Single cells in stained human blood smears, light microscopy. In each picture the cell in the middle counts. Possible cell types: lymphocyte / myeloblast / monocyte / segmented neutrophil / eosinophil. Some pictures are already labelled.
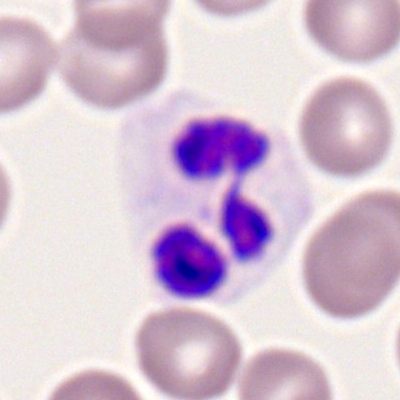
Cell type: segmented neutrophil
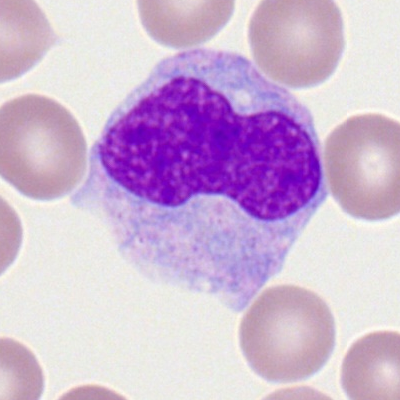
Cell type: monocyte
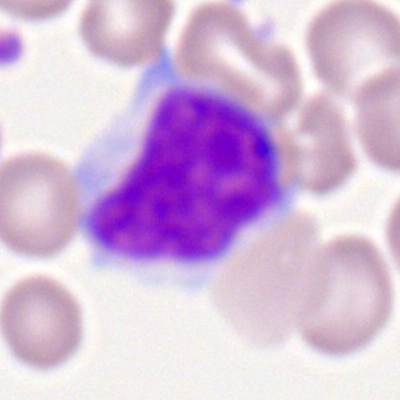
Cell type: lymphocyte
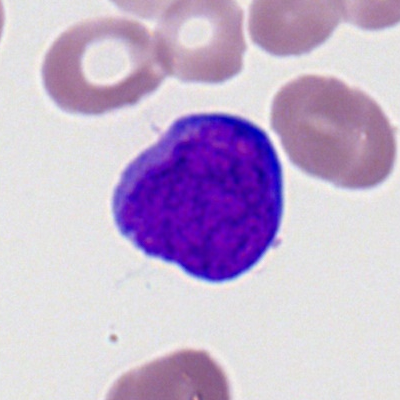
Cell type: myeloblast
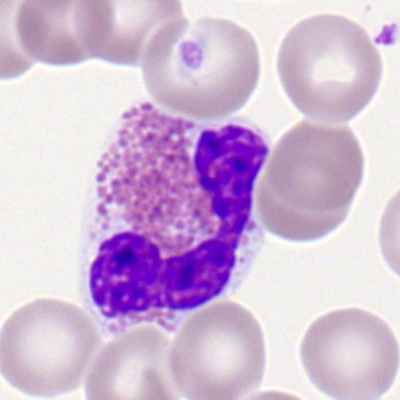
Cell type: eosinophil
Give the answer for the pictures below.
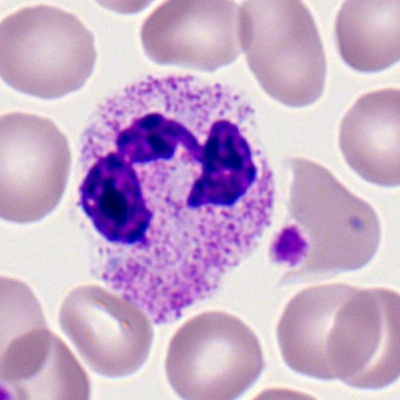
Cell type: segmented neutrophil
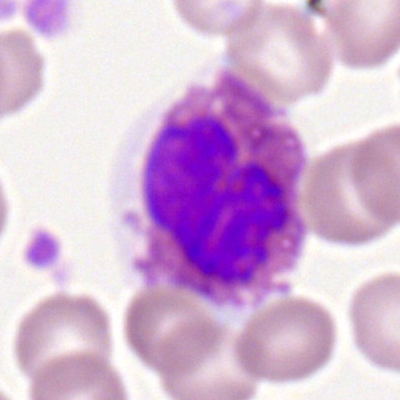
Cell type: eosinophil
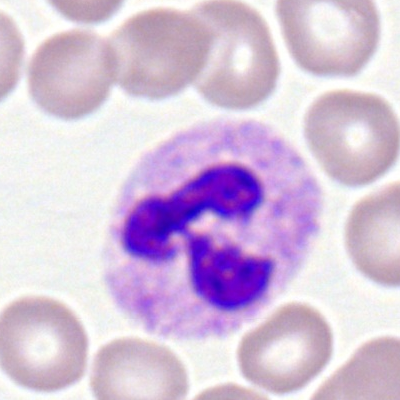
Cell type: segmented neutrophil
